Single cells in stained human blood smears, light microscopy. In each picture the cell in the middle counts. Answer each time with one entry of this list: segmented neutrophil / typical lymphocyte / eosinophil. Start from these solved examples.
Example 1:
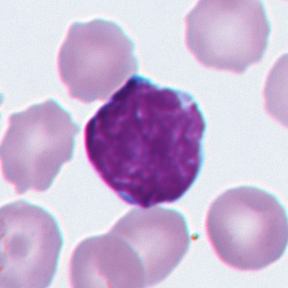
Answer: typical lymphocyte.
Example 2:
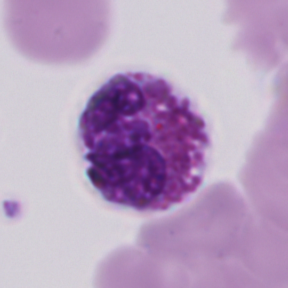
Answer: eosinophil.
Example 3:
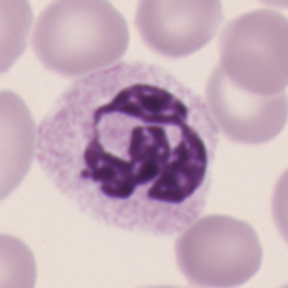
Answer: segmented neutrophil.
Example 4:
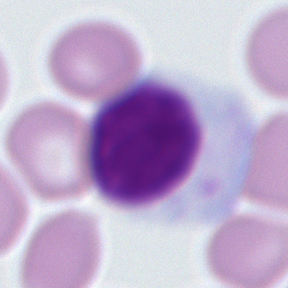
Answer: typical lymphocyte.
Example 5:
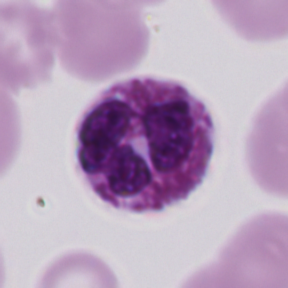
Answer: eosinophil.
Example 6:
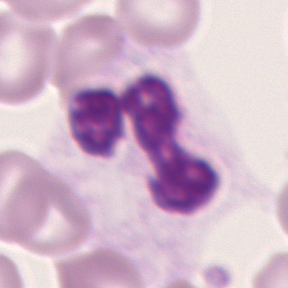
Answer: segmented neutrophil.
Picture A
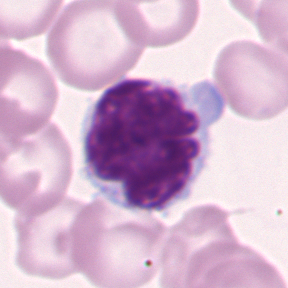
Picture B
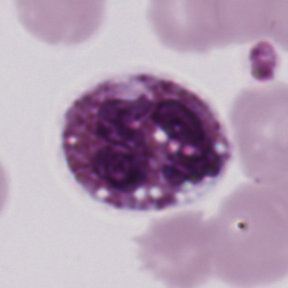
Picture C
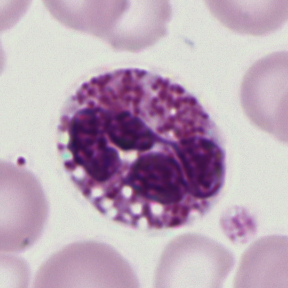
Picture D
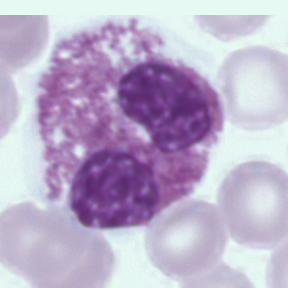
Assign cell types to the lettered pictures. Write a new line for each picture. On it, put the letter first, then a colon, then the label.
A: typical lymphocyte.
B: eosinophil.
C: eosinophil.
D: eosinophil.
